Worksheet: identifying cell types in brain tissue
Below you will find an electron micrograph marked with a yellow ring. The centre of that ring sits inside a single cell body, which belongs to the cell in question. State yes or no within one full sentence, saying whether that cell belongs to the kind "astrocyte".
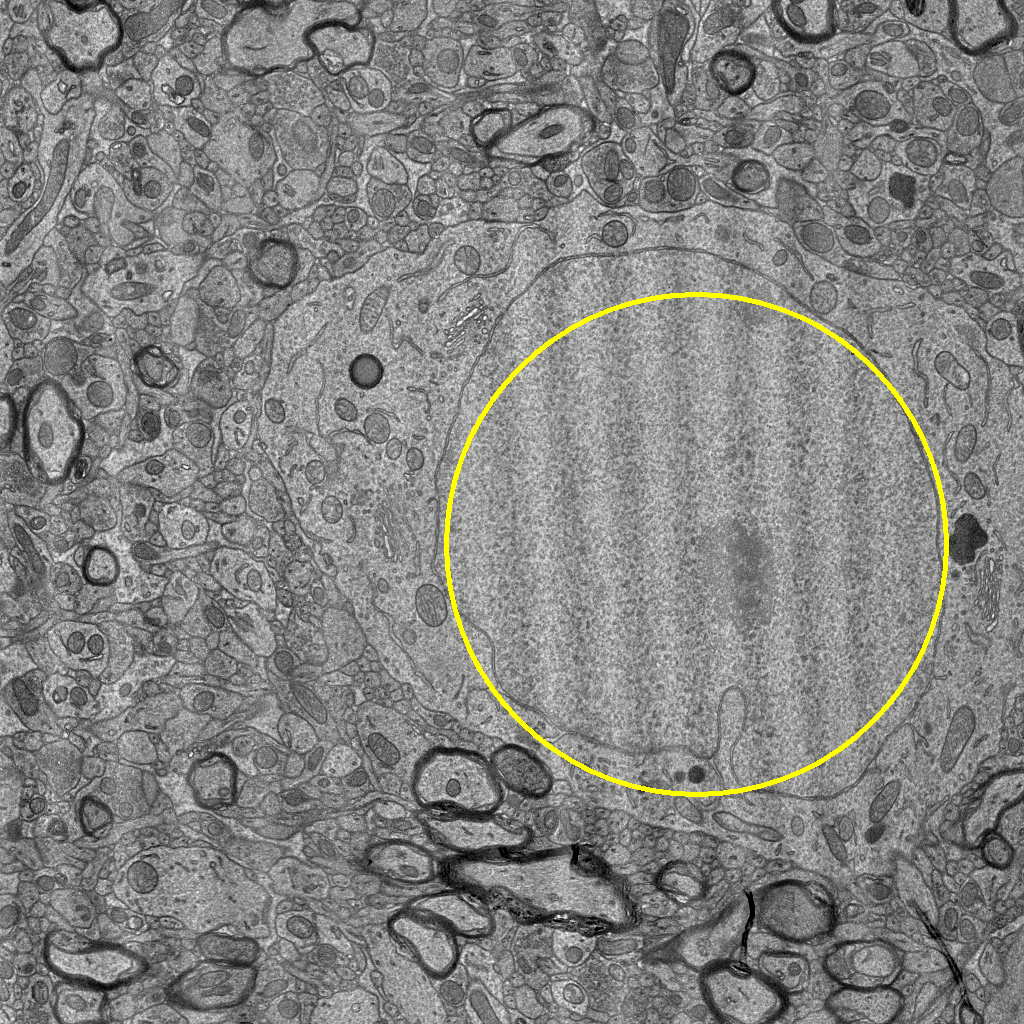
No, the cell whose body contains the centre of the yellow ring in this picture is of another kind.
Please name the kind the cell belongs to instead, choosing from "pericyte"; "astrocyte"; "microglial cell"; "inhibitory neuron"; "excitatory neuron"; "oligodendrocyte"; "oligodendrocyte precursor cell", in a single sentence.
As it turns out, the cell at the ring centre is an excitatory neuron.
